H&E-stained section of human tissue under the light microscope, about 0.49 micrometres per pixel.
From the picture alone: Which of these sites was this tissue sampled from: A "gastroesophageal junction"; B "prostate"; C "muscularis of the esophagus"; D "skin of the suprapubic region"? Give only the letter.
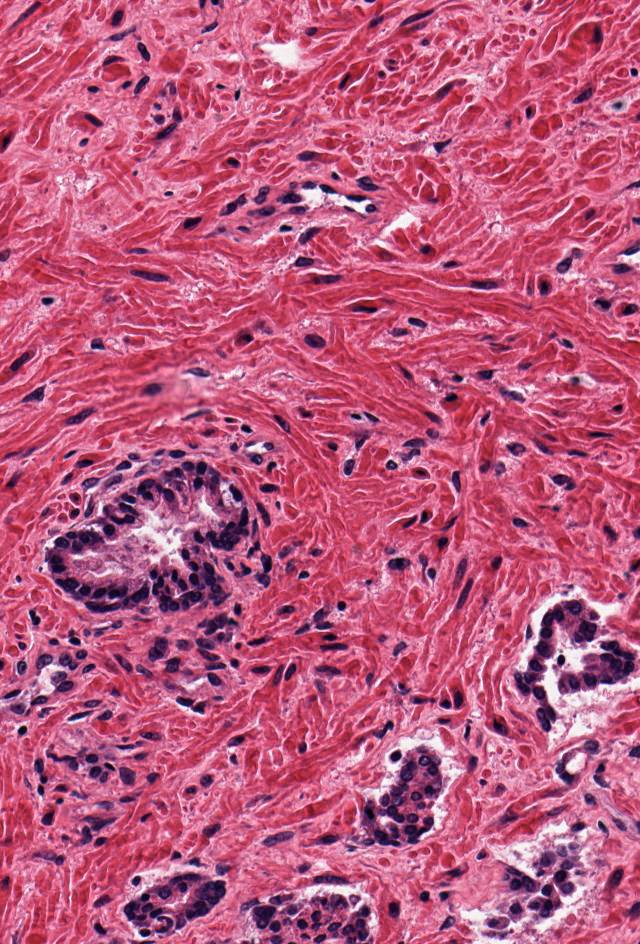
B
